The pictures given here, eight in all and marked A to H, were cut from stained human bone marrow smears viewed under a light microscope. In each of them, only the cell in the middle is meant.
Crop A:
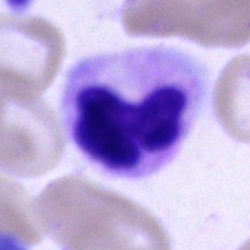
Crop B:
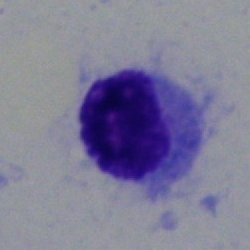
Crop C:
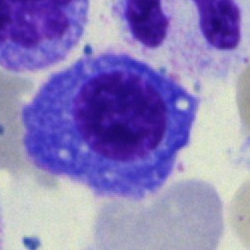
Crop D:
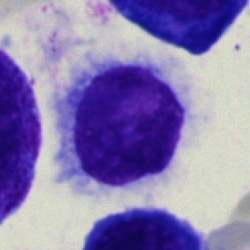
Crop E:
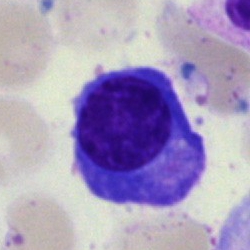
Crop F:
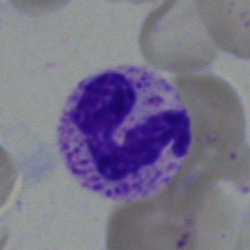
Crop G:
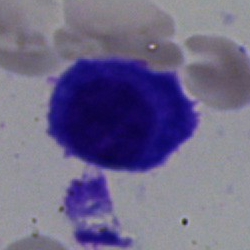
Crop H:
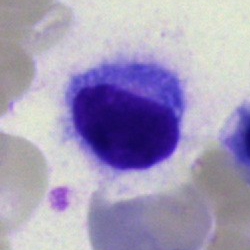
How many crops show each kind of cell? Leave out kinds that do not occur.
hairy cell: 3
plasma cell: 3
neutrophil: 2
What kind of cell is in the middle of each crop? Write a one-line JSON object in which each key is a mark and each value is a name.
{"A": "neutrophil", "B": "hairy cell", "C": "plasma cell", "D": "hairy cell", "E": "plasma cell", "F": "neutrophil", "G": "plasma cell", "H": "hairy cell"}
